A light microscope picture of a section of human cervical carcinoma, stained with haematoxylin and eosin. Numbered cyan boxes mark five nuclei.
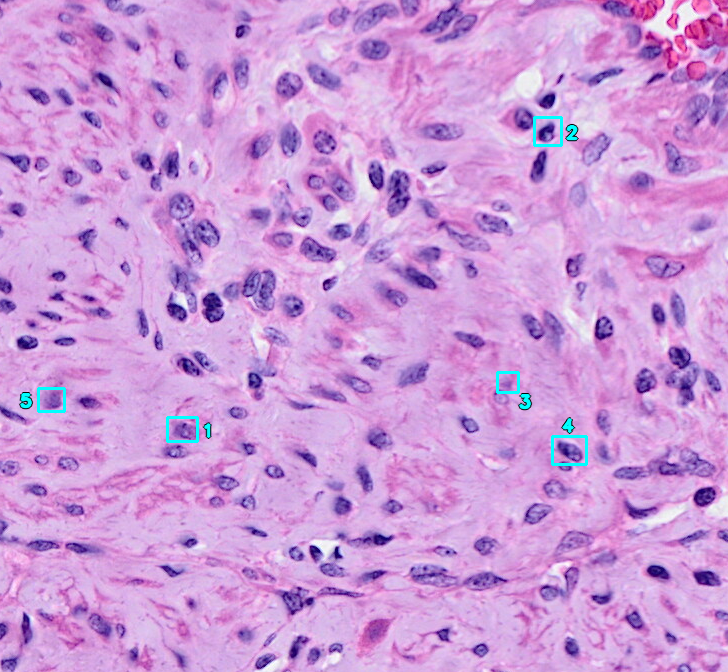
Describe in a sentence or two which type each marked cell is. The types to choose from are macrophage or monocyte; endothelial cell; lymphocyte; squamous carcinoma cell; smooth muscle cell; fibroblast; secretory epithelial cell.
Cells 1, 3 and 5 are smooth muscle cells. Cells 2 and 4 are lymphocytes.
